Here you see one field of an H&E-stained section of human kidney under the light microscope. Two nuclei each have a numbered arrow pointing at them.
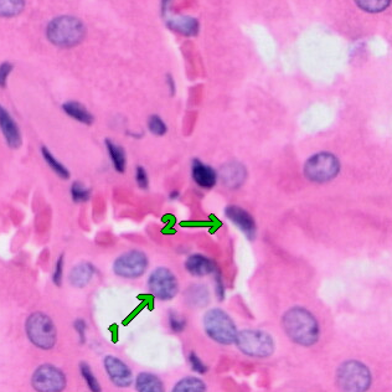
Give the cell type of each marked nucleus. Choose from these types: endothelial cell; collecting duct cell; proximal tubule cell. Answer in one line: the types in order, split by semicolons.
collecting duct cell; endothelial cell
